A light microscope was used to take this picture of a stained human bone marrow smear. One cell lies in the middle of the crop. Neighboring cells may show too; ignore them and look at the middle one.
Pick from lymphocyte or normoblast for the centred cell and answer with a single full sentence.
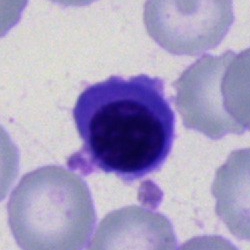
The central element of this crop is a cell, namely a normoblast.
